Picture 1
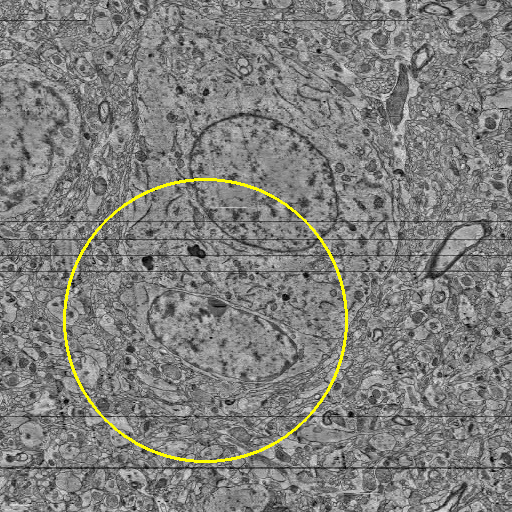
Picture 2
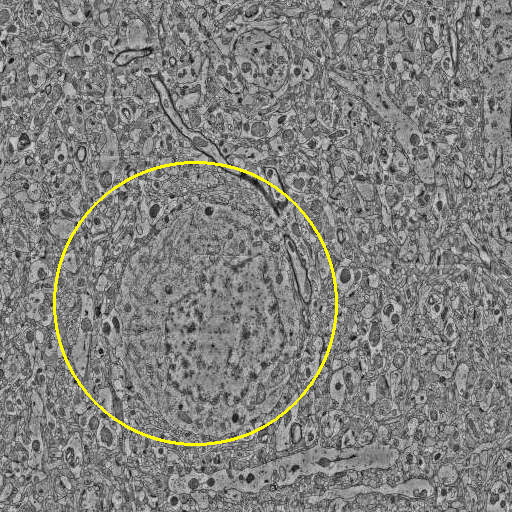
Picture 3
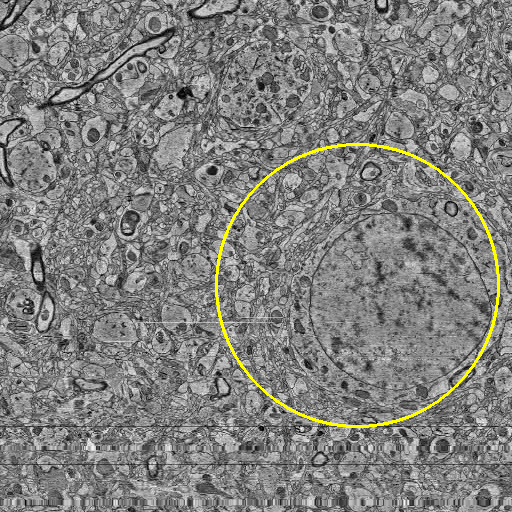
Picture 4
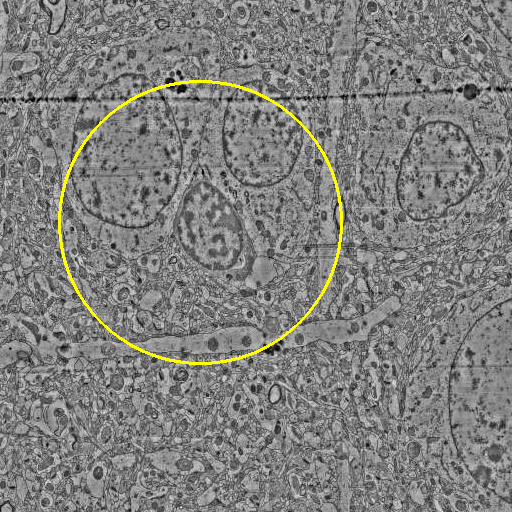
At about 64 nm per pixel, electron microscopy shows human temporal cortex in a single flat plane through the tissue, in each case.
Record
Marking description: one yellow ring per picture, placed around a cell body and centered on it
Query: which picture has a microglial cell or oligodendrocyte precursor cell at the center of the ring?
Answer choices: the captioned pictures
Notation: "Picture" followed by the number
Picture 1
